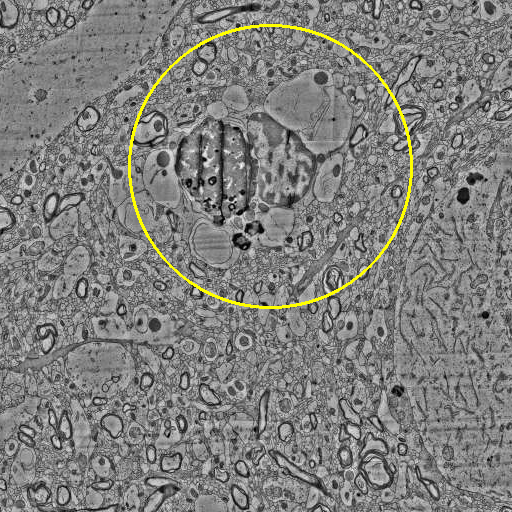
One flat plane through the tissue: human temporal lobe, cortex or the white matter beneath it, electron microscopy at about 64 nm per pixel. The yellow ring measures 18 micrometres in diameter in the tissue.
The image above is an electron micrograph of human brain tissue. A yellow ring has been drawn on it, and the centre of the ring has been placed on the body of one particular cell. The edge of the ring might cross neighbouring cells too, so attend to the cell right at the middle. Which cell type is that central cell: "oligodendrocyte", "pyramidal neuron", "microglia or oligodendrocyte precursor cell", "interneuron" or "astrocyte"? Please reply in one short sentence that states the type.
The central cell in the ring is a microglial cell or oligodendrocyte precursor cell.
